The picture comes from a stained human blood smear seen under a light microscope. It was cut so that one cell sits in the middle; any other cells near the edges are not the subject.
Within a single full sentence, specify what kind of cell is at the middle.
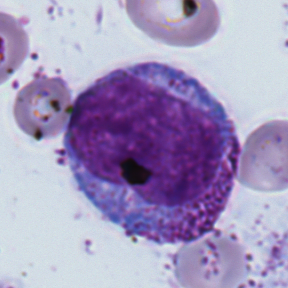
This particular crop is centered on a promyelocyte.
